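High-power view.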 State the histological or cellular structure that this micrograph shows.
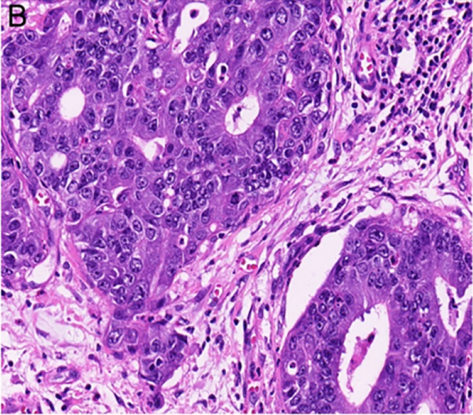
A: glandular or cribriform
